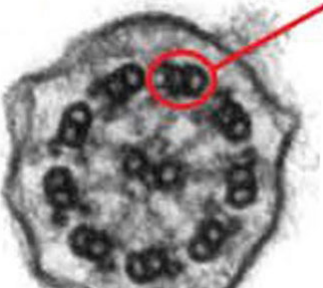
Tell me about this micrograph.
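This is a cilium cut straight across, seen in the electron microscope. A thin, slightly wavy membrane bounds a round profile. Just inside it runs a ring of paired tubules; each pair looks like two small dark rings fused side by side, and one pair is circled in red. In the middle of the cilium sit further tubule profiles, surrounded by a lighter, finely granular matrix. Small projections can be made out on some of the pairs, pointing toward the neighbouring pair. Overall, this is the classic ring-of-pairs-around-a-centre pattern of a motile cilium's core.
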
